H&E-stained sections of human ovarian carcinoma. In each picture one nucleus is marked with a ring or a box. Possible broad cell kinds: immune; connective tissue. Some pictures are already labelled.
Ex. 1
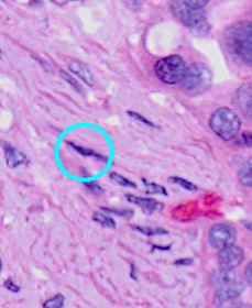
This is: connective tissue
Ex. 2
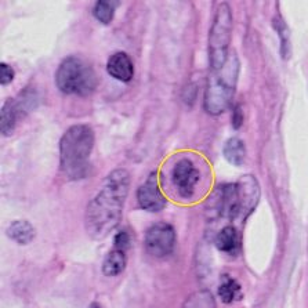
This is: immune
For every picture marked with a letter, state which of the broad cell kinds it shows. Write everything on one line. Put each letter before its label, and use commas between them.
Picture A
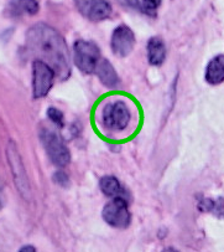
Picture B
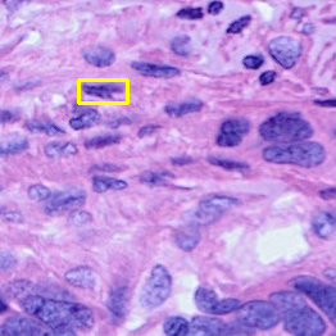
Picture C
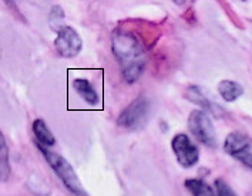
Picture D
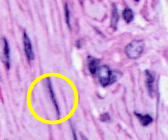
A immune, B connective tissue, C immune, D connective tissue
